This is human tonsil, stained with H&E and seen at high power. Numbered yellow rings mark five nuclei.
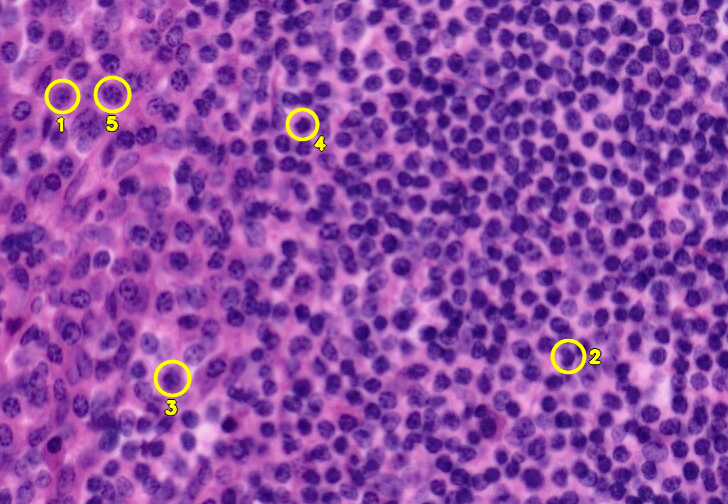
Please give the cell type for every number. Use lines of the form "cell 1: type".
cell 1: plasma cell
cell 2: small lymphocyte
cell 3: plasma cell
cell 4: small lymphocyte
cell 5: plasma cell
